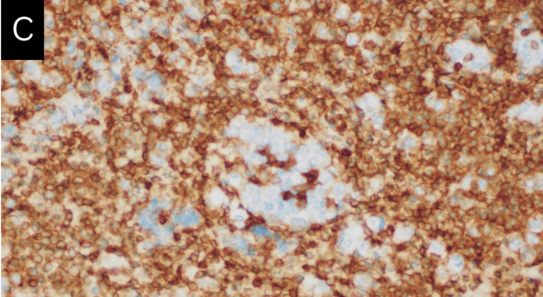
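The small round cells are packed in sheets with no visible follicular pattern, and nearly every one shows a strong brown ring outlining its membrane, giving a honeycomb-like appearance across the field. Nuclei are mostly hidden beneath the dense brown, with only a few pale blue nuclei of unstained cells peeking through in small gaps. A small vessel-like space in the centre is surrounded by the same stained cells.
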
